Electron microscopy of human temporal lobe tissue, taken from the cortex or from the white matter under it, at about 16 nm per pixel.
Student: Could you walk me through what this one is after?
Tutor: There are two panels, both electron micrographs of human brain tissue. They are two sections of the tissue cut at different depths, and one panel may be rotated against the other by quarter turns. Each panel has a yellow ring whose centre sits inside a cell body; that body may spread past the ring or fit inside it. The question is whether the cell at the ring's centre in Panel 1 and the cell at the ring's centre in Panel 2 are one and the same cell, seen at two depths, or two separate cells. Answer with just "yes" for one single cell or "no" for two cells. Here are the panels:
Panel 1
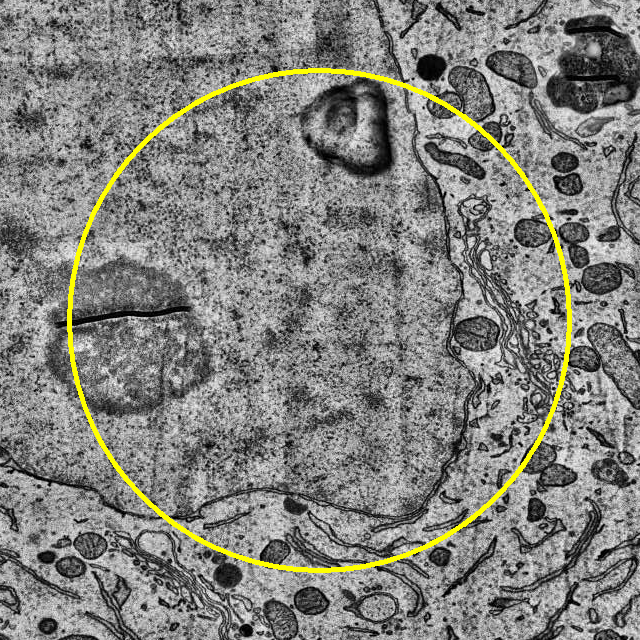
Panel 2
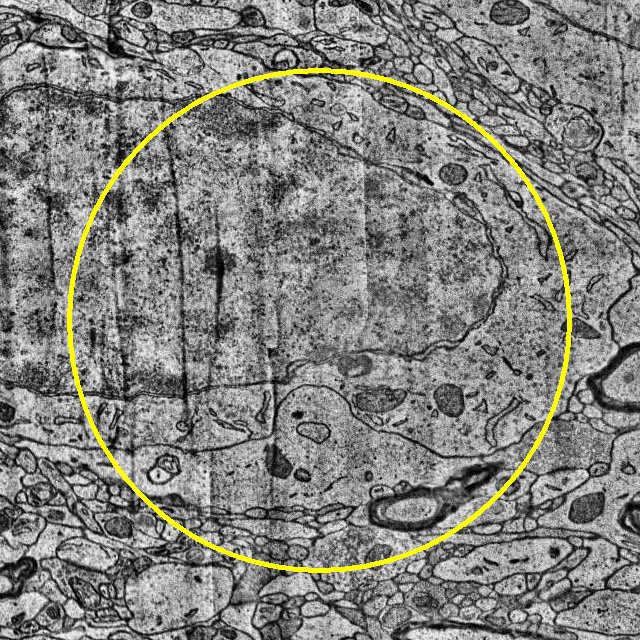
no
